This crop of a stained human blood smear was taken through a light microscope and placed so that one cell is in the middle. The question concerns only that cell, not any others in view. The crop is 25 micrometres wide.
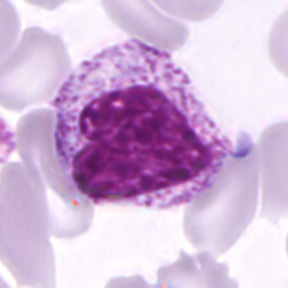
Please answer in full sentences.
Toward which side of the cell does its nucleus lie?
It is shifted toward the bottom of the cell.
